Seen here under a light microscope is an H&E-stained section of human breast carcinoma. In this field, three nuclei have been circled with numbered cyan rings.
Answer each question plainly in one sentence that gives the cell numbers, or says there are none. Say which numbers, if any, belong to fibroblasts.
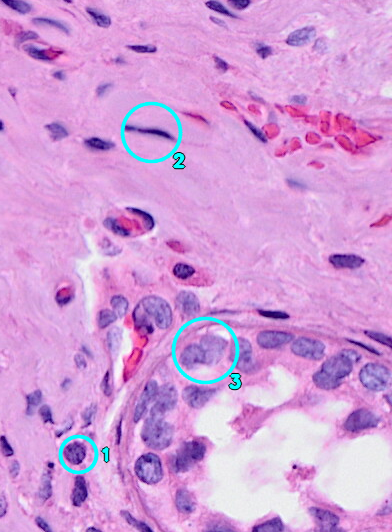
Where the numbered cells are concerned, only number 2 is a fibroblast.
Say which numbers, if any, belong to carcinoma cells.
Among the marked cells, a carcinoma cell is found only at number 3.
